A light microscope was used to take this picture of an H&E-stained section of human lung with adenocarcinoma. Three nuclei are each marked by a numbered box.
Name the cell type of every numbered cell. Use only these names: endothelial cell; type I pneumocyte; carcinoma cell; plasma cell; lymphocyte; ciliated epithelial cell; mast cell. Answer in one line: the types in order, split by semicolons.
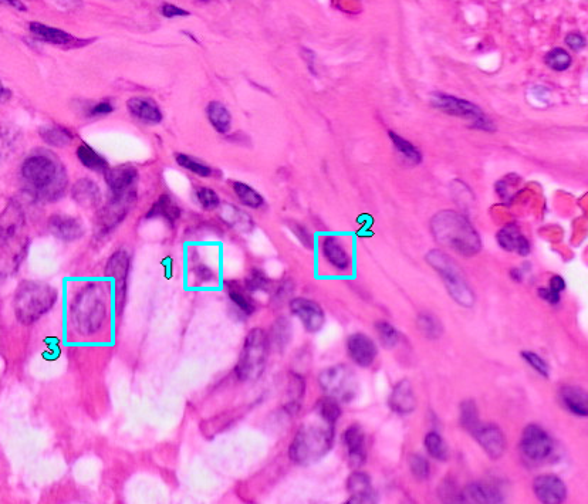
ciliated epithelial cell; plasma cell; ciliated epithelial cell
